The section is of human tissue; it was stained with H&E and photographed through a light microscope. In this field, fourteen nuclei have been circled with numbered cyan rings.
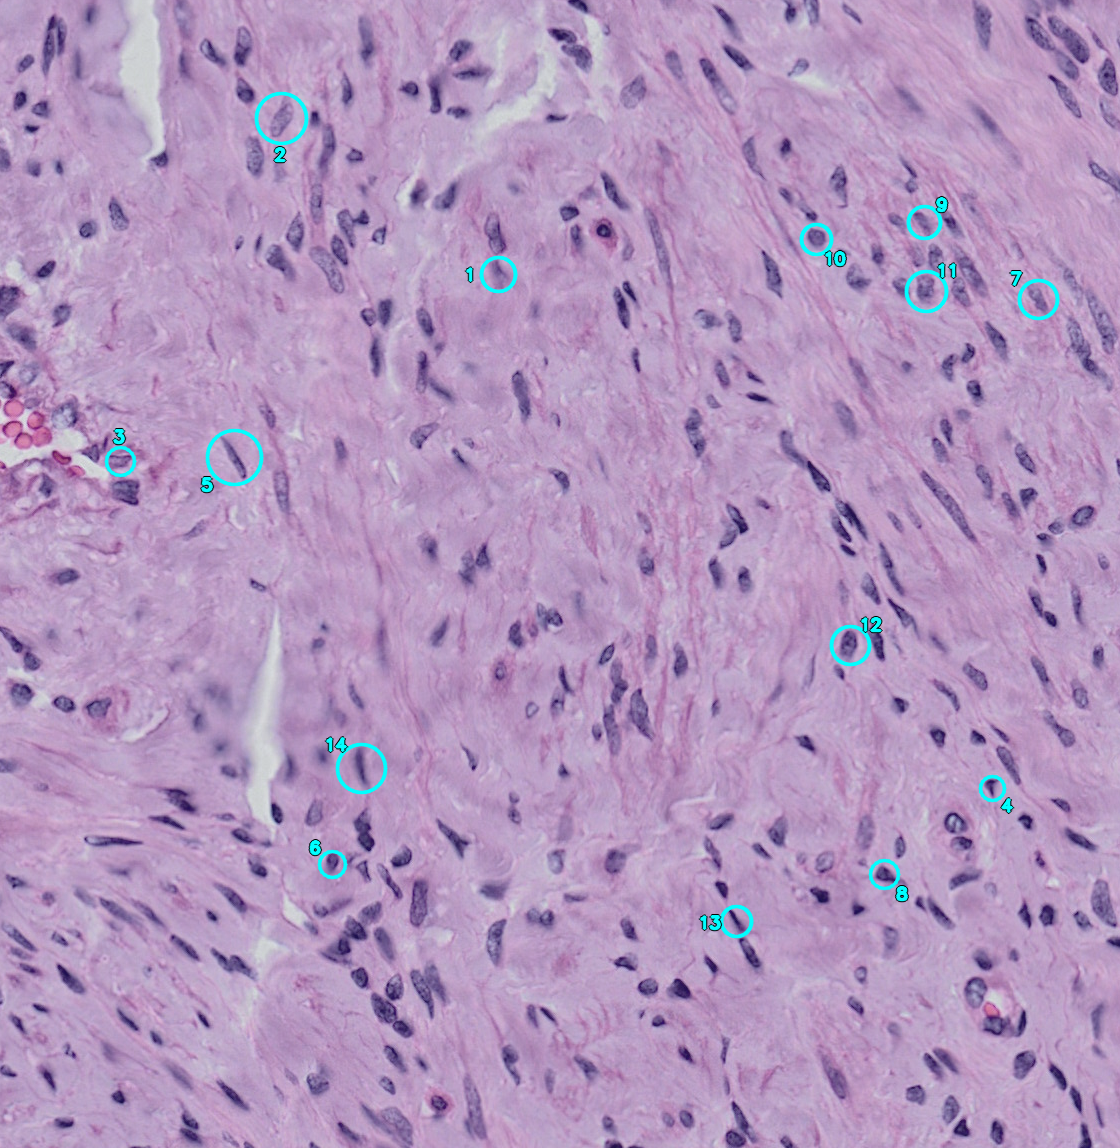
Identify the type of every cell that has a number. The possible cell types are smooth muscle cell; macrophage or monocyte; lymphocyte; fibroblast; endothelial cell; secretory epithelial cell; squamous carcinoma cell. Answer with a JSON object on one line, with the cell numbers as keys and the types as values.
{"1": "smooth muscle cell", "2": "smooth muscle cell", "3": "endothelial cell", "4": "fibroblast", "5": "fibroblast", "6": "fibroblast", "7": "smooth muscle cell", "8": "fibroblast", "9": "smooth muscle cell", "10": "fibroblast", "11": "smooth muscle cell", "12": "fibroblast", "13": "fibroblast", "14": "fibroblast"}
